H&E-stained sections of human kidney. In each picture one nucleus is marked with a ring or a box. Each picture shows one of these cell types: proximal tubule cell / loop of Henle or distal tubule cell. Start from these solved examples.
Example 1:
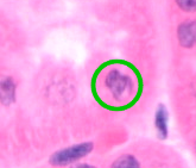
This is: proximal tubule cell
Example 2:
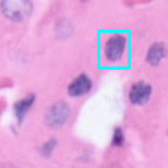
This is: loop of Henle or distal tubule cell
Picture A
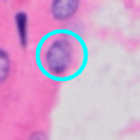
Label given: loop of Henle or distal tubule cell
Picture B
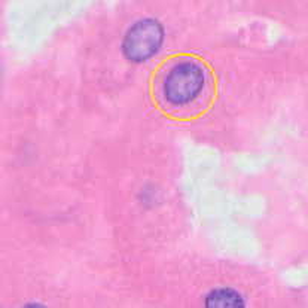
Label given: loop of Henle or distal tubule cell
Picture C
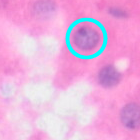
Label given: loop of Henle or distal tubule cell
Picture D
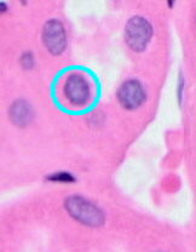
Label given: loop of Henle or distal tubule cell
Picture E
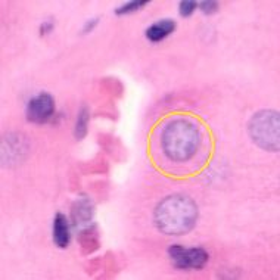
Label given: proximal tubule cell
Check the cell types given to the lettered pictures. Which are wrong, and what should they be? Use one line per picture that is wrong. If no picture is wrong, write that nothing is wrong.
B: change loop of Henle or distal tubule cell to proximal tubule cell
C: change loop of Henle or distal tubule cell to proximal tubule cell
